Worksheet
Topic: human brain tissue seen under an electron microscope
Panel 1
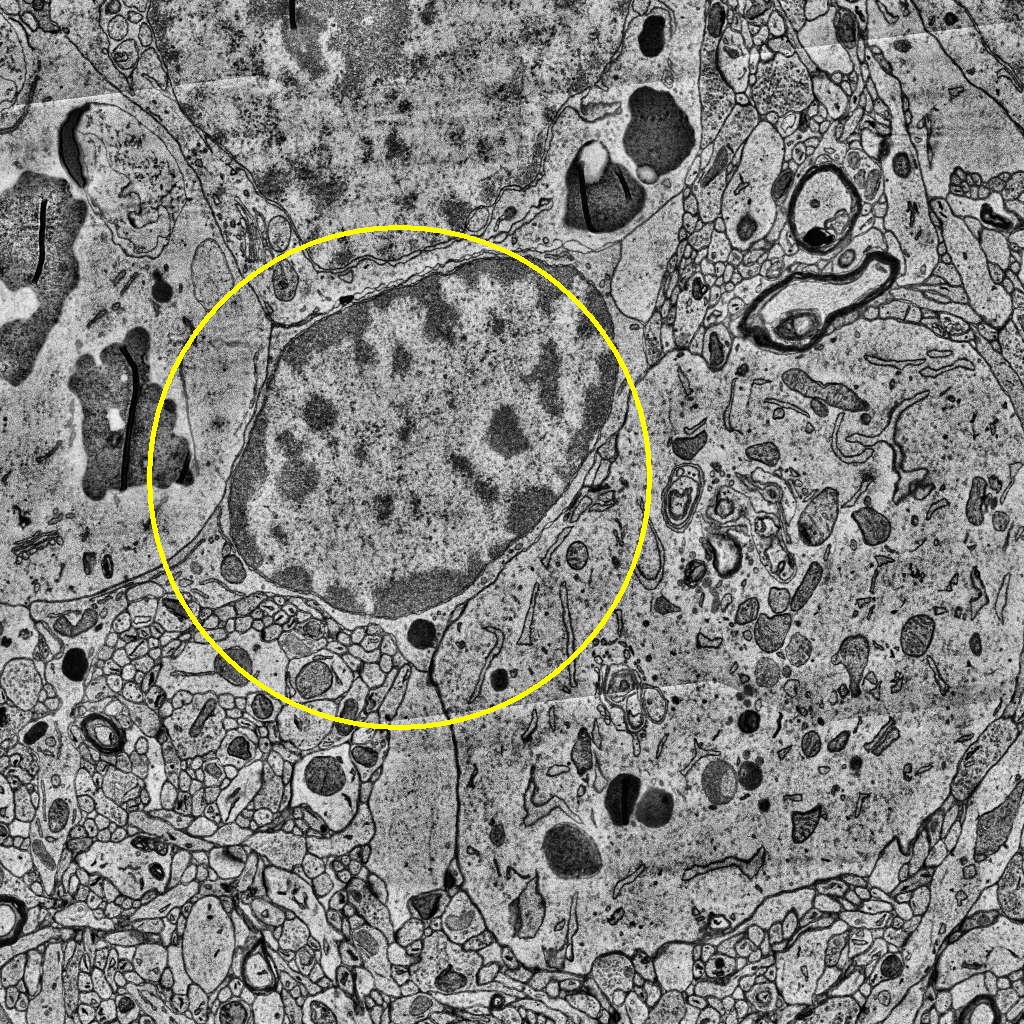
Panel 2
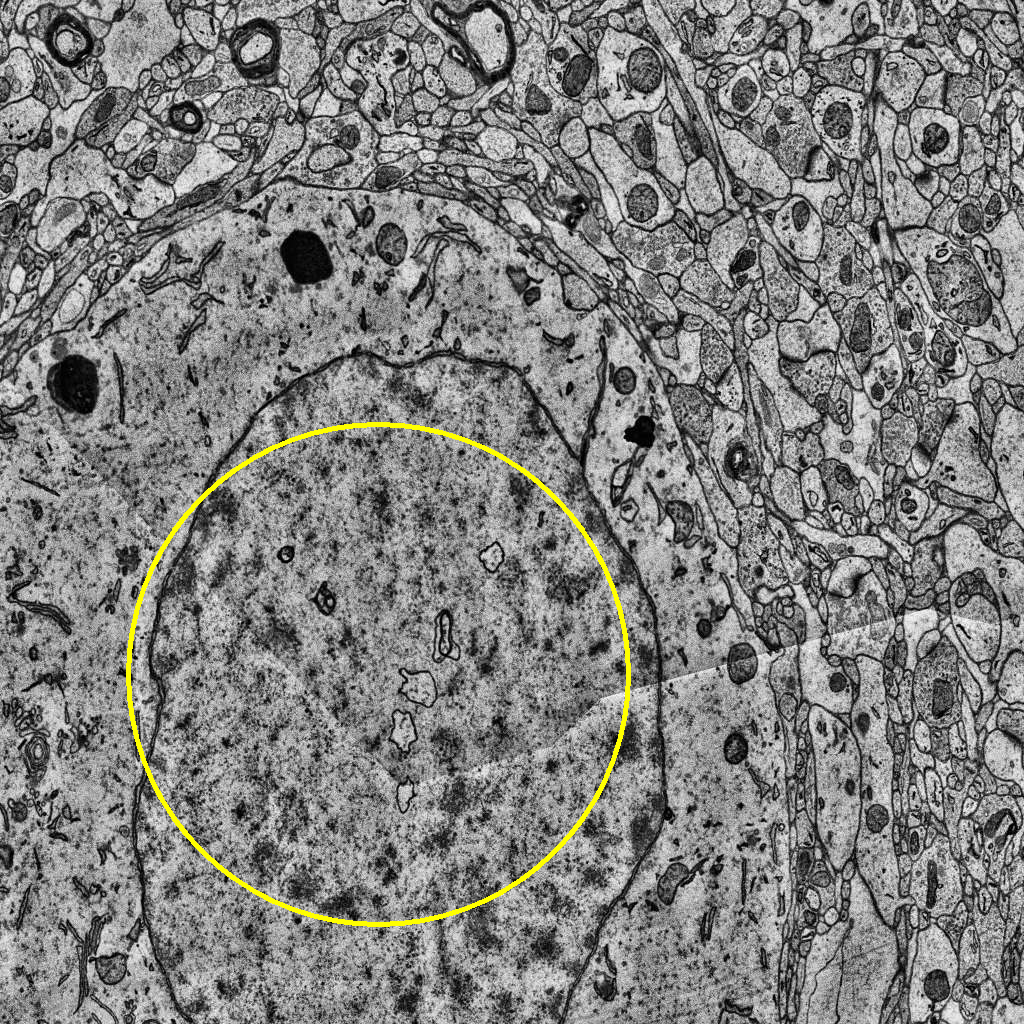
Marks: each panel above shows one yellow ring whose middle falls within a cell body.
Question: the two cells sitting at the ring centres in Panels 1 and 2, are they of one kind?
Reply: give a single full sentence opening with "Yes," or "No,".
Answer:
No, the two cells at the ring centres in Panel 1 and Panel 2 are of two kinds.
